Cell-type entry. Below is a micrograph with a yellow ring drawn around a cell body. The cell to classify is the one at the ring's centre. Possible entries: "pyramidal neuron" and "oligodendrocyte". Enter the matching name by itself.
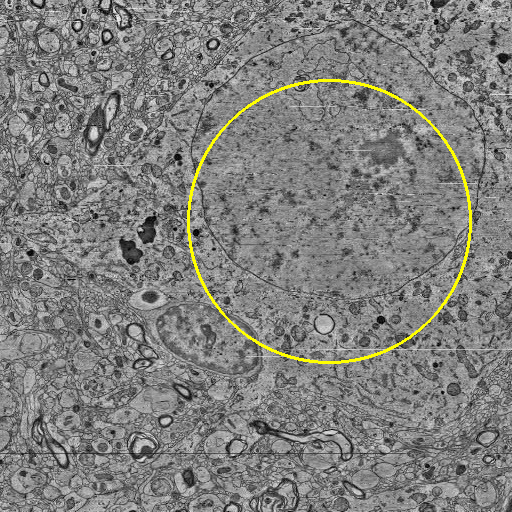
pyramidal neuron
